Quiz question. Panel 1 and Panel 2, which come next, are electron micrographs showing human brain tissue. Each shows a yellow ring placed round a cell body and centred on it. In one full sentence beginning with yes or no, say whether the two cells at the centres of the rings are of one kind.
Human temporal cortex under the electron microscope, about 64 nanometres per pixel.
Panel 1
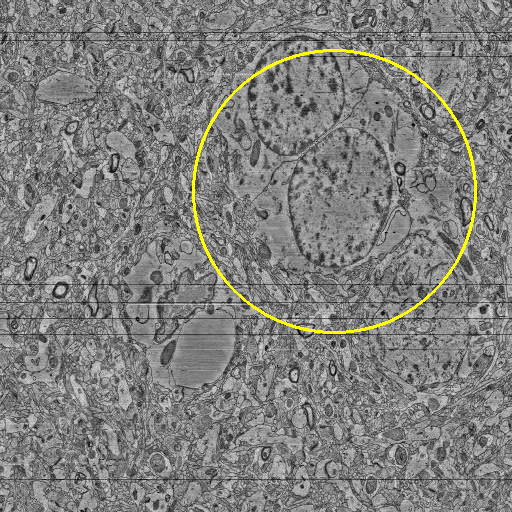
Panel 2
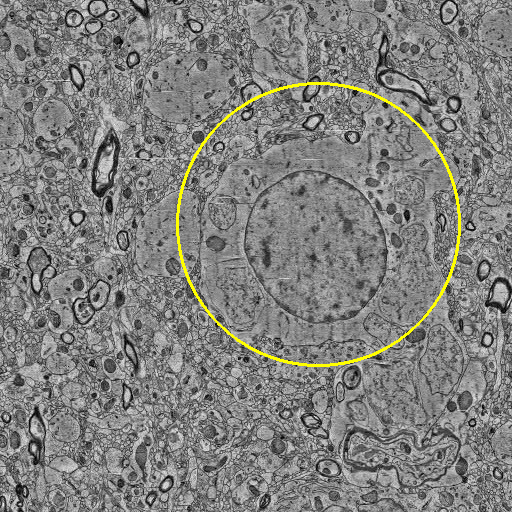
Yes, Panel 1 and Panel 2 show one kind of cell at the centre of the ring.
